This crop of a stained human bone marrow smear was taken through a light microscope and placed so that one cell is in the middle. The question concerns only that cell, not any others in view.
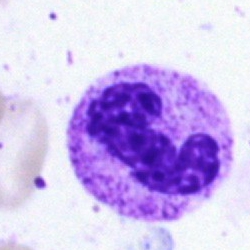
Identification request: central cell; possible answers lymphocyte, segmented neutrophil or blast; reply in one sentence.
The cell at the middle of the crop is recognized as a segmented neutrophil.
